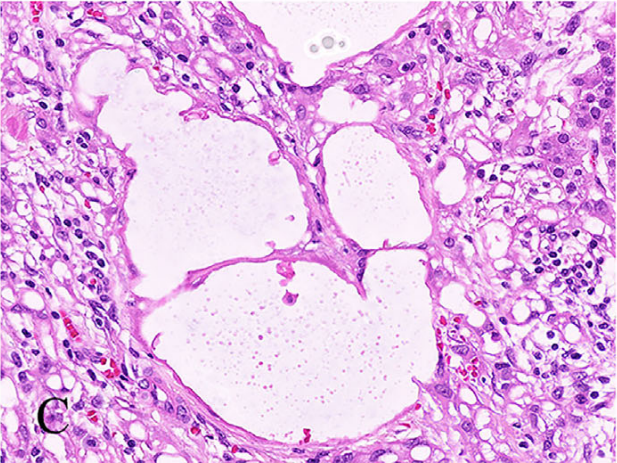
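A large clear space dominates the field, partitioned by thin pink strands that stretch across it from wall to wall, dividing it into several compartments. The space holds pale, finely speckled material. The wall is lined by flattened cells, and the surrounding tissue consists of cells with pale or vacuolated cytoplasm, some small vessels containing red blood cells, and scattered small dark nuclei.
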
